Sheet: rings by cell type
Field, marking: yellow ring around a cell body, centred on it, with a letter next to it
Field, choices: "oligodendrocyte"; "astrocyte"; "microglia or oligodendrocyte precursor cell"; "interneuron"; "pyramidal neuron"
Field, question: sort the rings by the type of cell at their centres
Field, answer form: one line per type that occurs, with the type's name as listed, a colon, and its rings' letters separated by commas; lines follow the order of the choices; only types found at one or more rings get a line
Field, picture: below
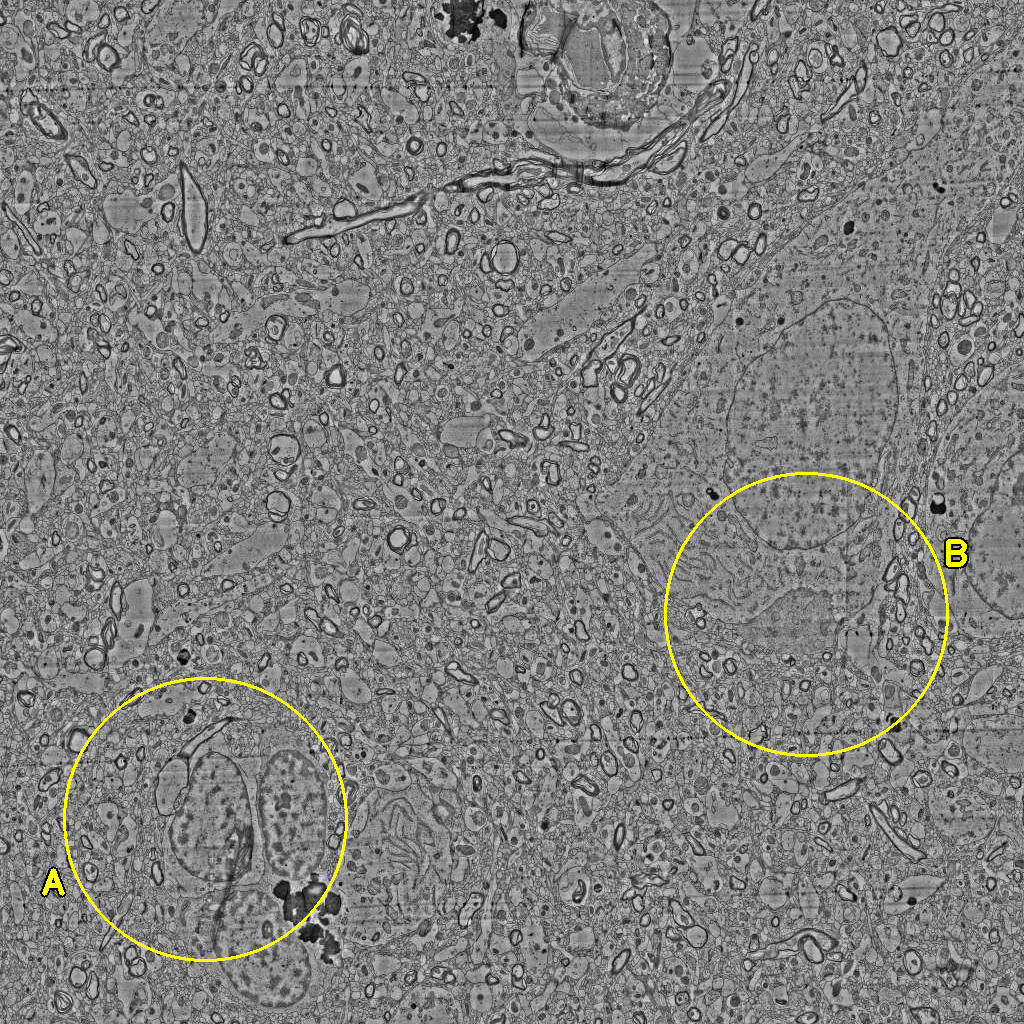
oligodendrocyte: B
microglia or oligodendrocyte precursor cell: A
